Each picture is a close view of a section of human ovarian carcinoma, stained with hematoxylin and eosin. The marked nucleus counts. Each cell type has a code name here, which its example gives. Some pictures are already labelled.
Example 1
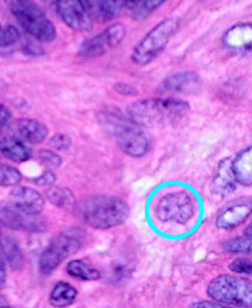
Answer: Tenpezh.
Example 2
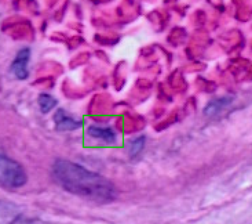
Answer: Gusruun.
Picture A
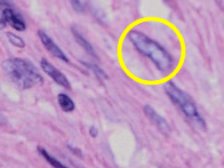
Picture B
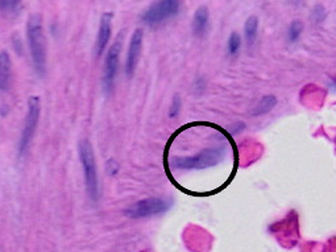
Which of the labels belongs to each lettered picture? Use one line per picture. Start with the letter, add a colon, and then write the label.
A: Tenpezh.
B: Gusruun.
